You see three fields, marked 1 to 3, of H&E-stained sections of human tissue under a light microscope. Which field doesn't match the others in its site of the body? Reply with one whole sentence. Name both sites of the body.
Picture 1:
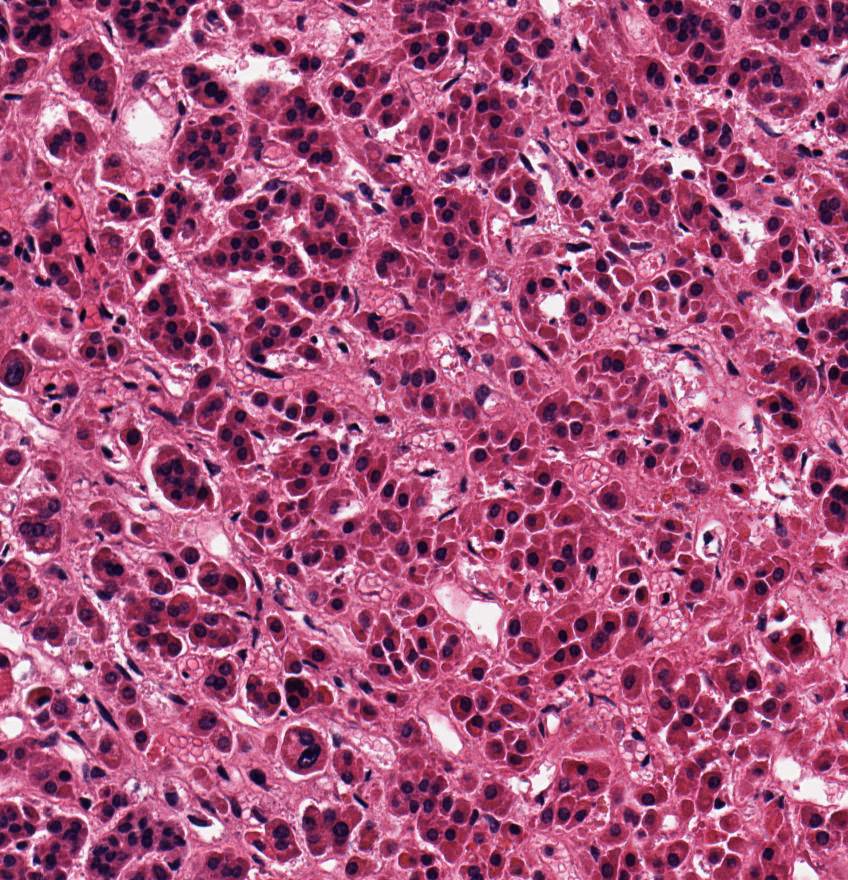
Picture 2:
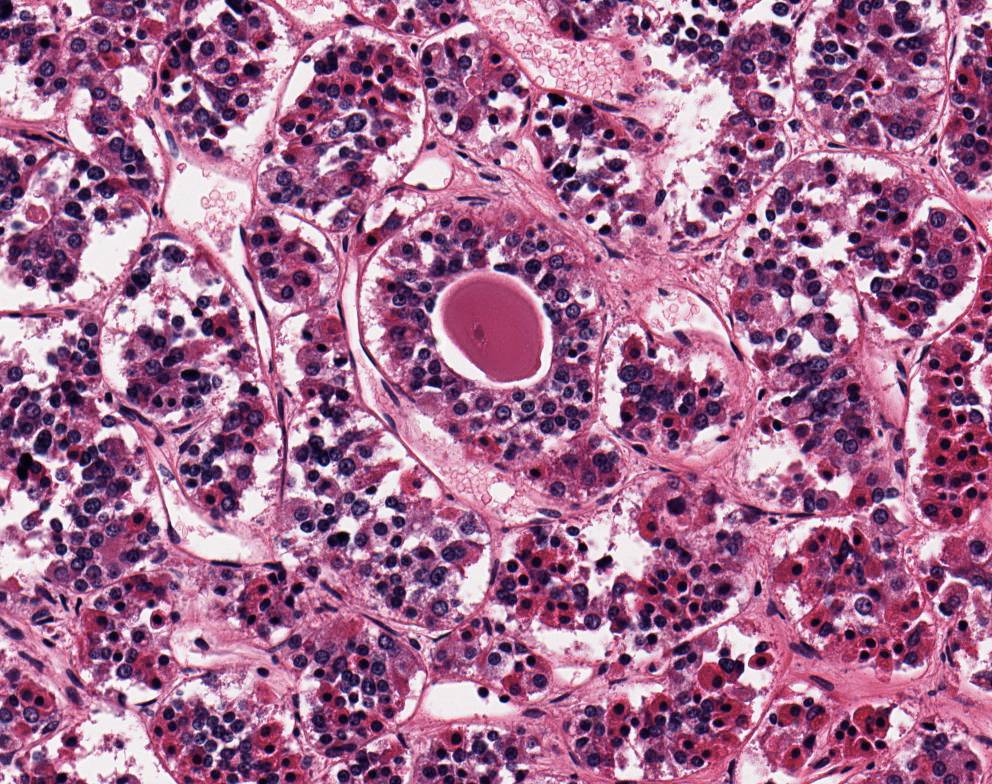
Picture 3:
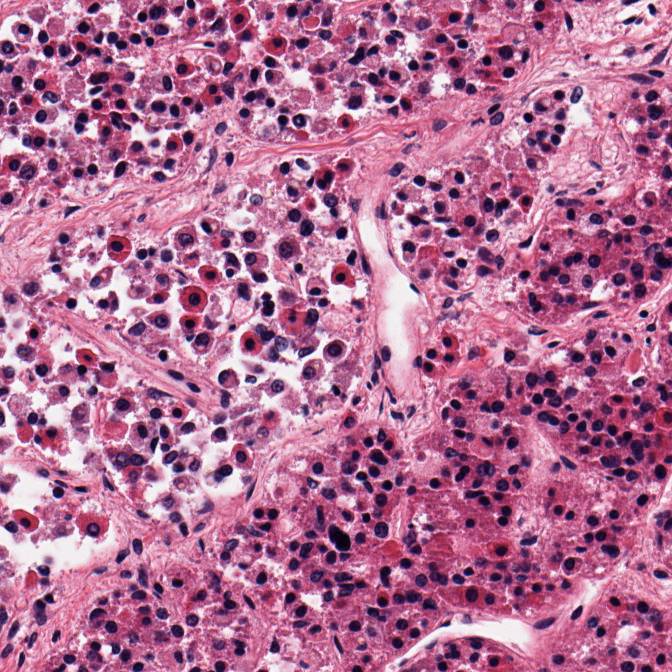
Picture 1 is the odd one out: it comes from the adrenal gland, while the others come from the pituitary.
